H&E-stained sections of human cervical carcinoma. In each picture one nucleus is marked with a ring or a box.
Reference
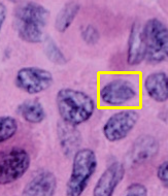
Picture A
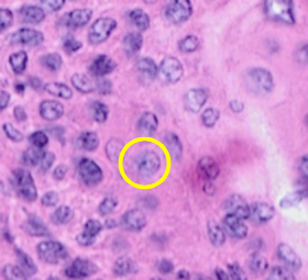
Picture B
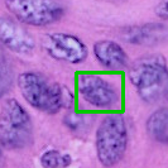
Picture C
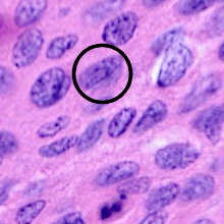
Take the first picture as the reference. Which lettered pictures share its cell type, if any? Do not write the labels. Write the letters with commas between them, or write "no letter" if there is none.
A, B, C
